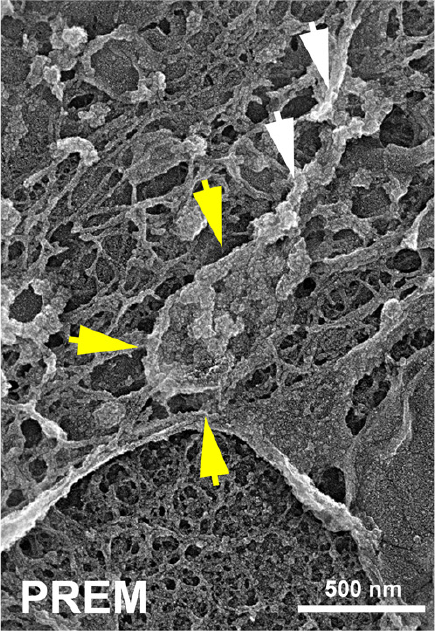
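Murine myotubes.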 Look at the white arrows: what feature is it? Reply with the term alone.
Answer: Beaded tubules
